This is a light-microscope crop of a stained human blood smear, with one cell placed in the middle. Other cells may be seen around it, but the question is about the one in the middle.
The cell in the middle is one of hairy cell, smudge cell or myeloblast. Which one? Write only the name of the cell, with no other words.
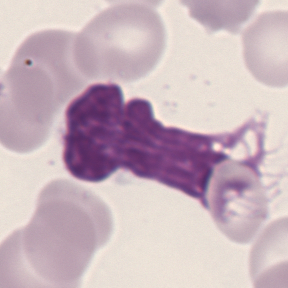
smudge cell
